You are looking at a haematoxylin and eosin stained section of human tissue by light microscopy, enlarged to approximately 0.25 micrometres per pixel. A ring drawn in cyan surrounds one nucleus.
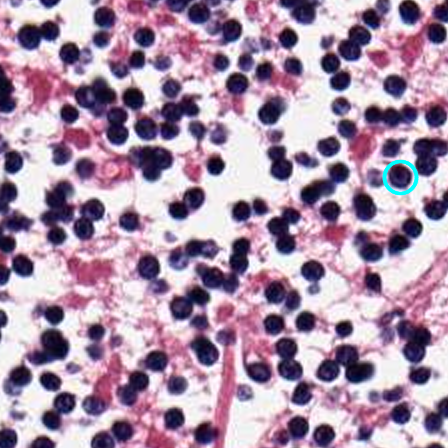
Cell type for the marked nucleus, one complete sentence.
The marked nucleus here is the nucleus of a cerebellar granule cell.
